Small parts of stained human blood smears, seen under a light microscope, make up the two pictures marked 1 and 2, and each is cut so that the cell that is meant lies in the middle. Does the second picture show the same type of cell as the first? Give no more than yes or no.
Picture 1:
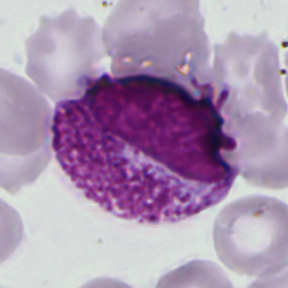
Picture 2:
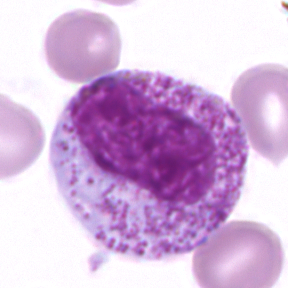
no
